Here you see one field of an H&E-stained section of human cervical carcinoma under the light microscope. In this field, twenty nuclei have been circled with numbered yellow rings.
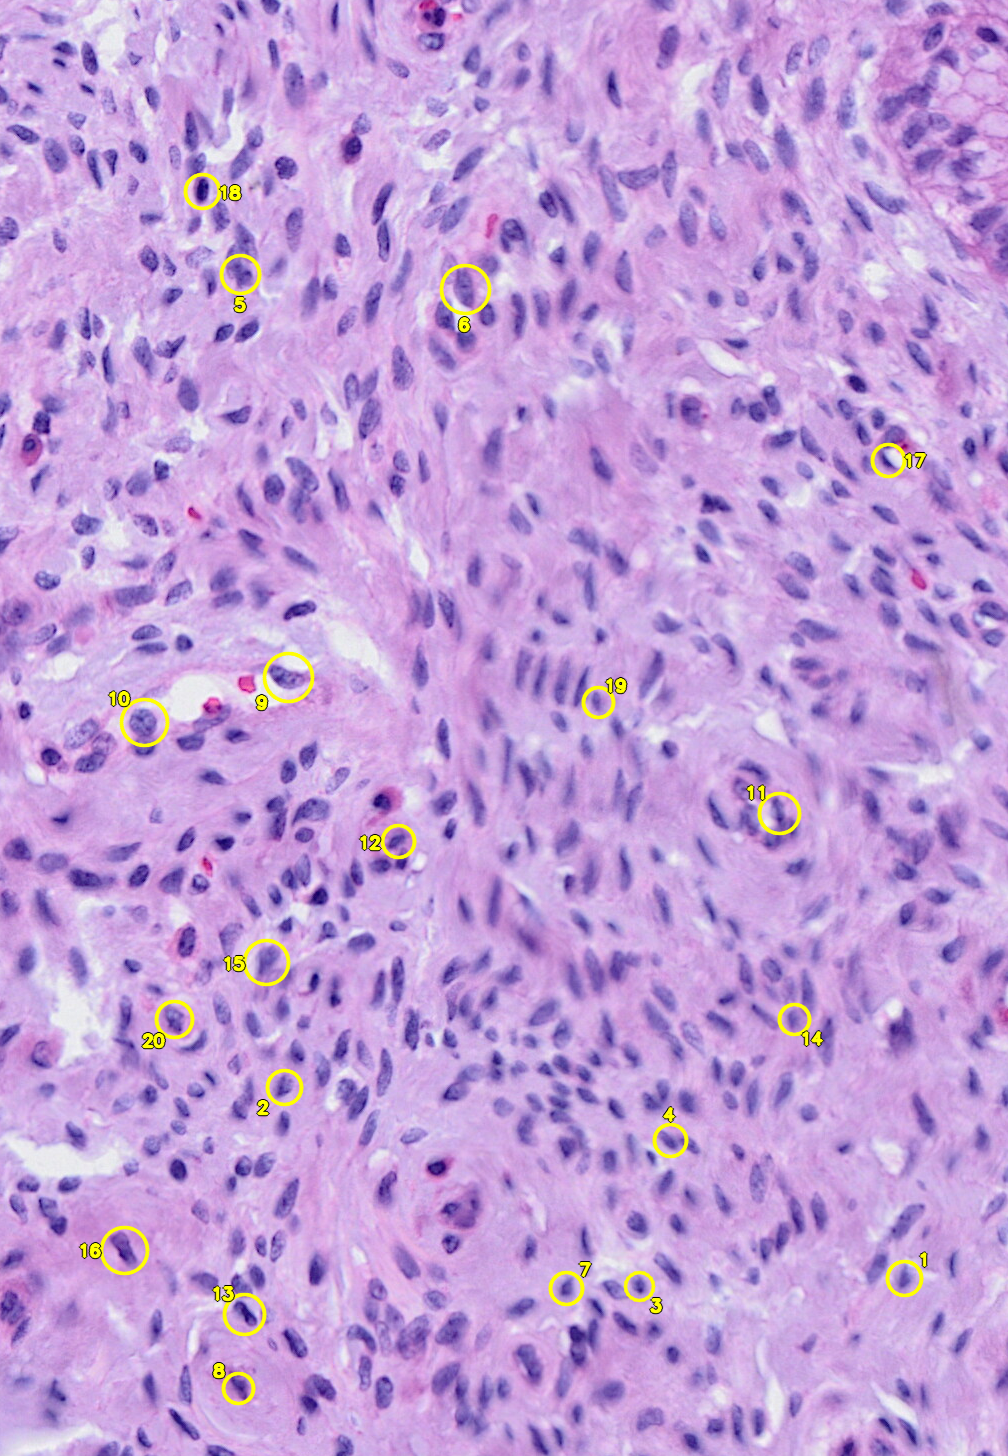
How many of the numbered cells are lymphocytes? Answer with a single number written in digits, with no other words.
1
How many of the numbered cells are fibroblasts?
11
